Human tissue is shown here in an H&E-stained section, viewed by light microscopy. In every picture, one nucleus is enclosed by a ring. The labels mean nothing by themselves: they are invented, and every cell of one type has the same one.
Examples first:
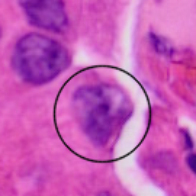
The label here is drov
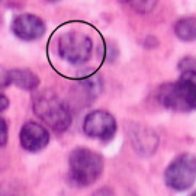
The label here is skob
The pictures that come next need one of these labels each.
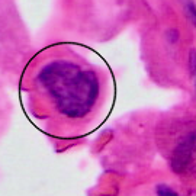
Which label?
drov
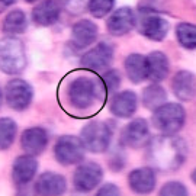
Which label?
skob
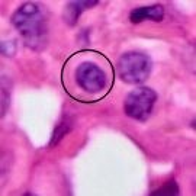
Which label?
skob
